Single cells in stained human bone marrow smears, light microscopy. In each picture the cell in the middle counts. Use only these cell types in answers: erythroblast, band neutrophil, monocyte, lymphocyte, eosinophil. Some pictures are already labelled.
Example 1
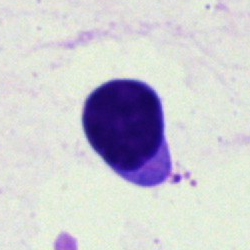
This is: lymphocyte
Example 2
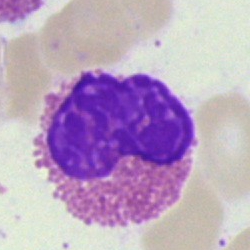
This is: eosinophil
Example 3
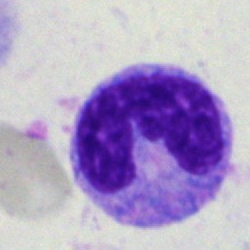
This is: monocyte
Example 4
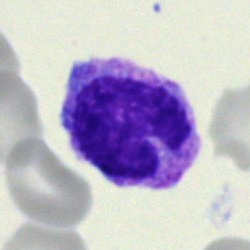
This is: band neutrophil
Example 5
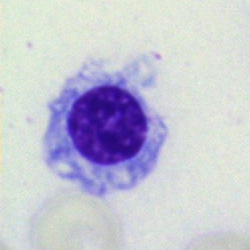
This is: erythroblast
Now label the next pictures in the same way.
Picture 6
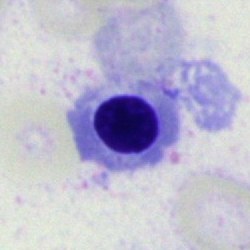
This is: erythroblast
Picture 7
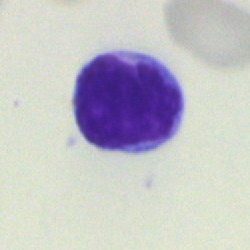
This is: lymphocyte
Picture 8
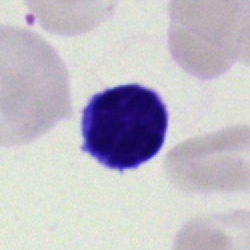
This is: lymphocyte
